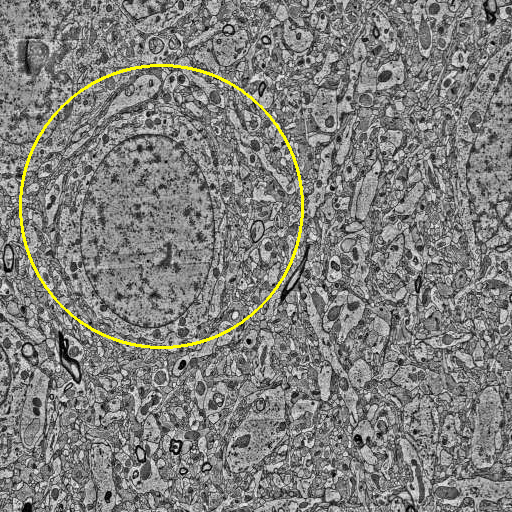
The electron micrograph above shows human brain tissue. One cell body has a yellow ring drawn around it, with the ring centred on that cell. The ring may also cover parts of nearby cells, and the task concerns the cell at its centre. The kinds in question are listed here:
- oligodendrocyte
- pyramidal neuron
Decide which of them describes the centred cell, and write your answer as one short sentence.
The centred cell is a pyramidal neuron.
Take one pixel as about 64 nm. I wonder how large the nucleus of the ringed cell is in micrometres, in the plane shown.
The nucleus has a long axis of about 12 micrometres and a short axis of about 9 micrometres in this plane.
